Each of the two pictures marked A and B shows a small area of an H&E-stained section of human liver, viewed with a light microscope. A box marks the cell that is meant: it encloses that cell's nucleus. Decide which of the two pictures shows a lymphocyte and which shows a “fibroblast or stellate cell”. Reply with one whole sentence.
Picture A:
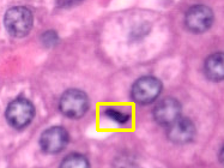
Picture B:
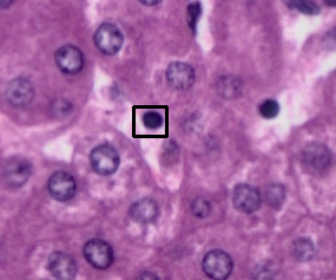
Picture A shows a “fibroblast or stellate cell” and picture B shows a lymphocyte.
